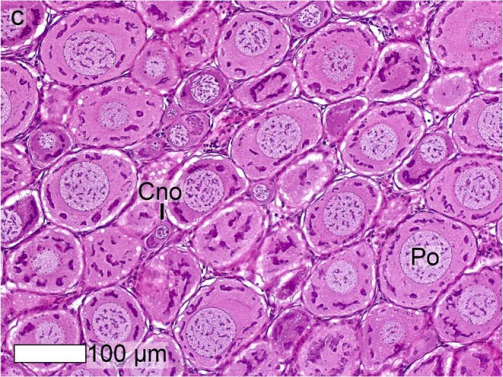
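This is ovary packed almost entirely with perinucleolar oocytes, large round cells lying side by side. A thin layer of flattened cells with dark elongated nuclei wraps each oocyte. Here and there between the large cells lie much smaller oocytes with relatively larger nuclei.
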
